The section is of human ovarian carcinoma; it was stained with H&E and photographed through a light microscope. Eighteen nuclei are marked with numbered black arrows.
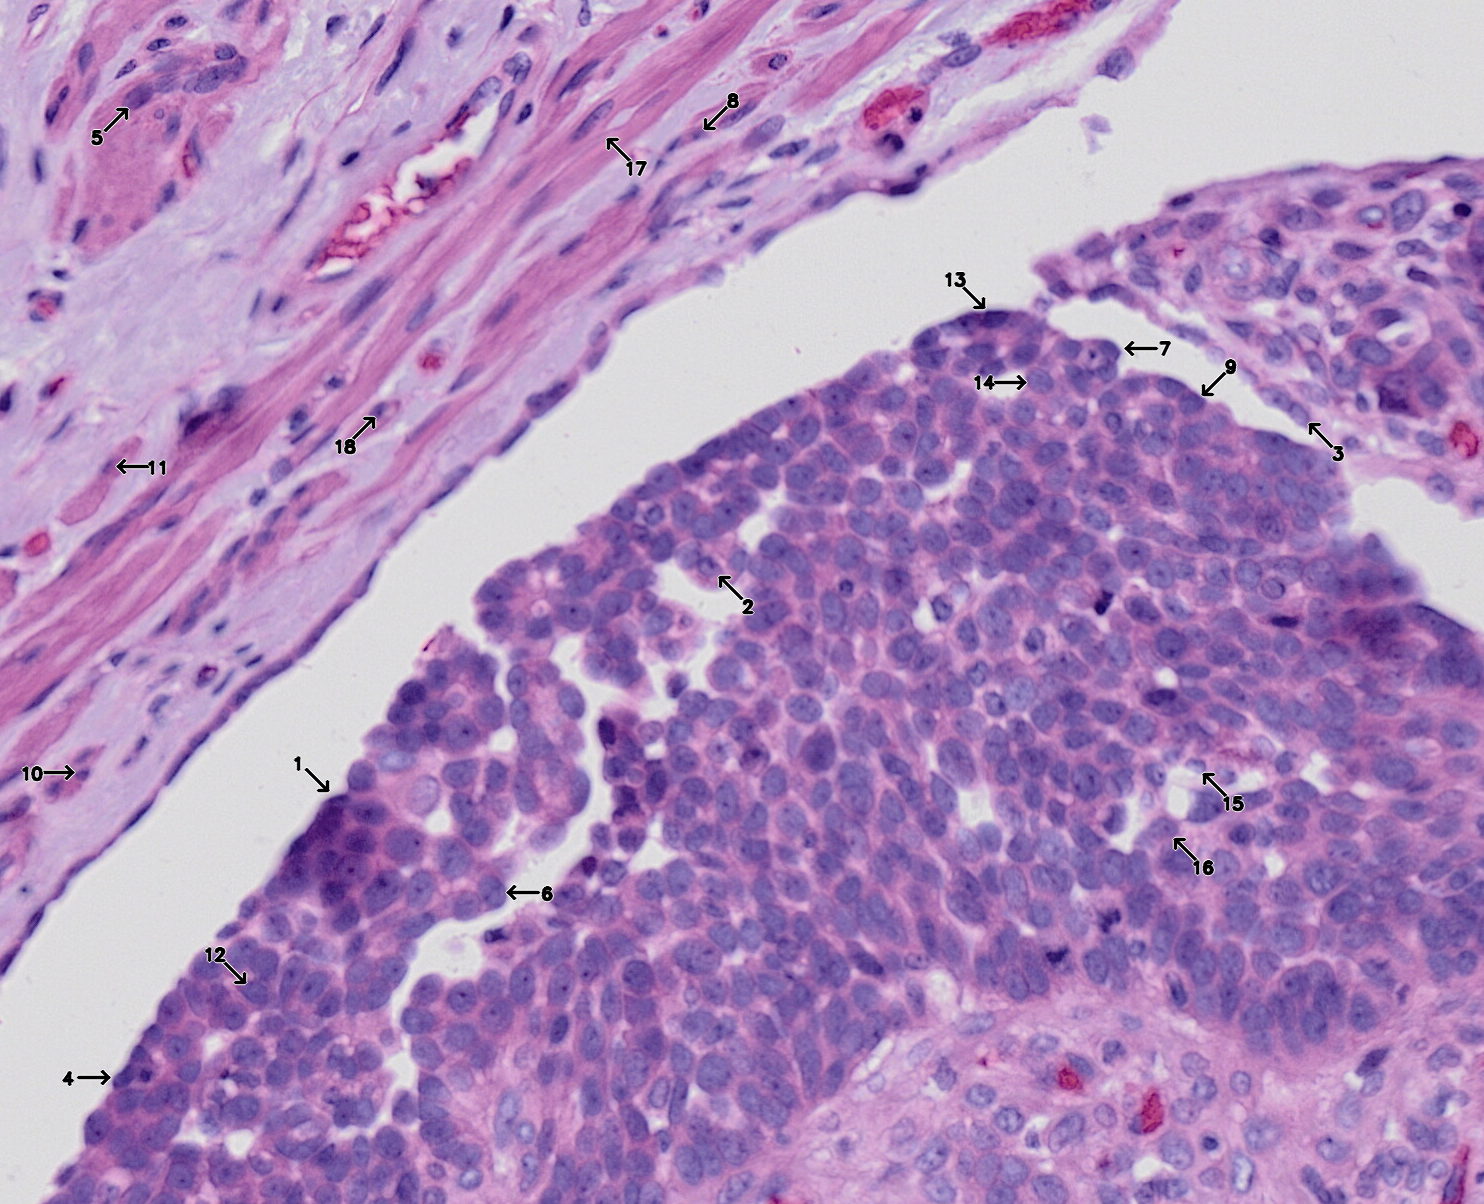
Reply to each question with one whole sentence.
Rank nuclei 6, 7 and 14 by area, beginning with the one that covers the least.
Smallest first, the nuclei run 7, 14, 6.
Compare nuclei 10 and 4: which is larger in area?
The larger nucleus is 4, at roughly 4 times the area of 10.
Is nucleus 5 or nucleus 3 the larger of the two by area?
Nucleus 5 is larger, with an area about 1.5 times that of nucleus 3.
